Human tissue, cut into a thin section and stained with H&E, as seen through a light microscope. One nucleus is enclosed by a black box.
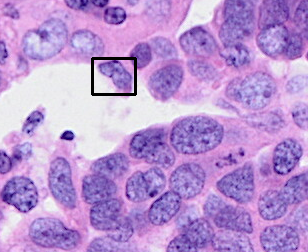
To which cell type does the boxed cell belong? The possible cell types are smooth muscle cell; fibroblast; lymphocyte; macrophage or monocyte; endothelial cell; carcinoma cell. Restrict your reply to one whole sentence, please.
With respect to cell type, the boxed cell is a macrophage or monocyte.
